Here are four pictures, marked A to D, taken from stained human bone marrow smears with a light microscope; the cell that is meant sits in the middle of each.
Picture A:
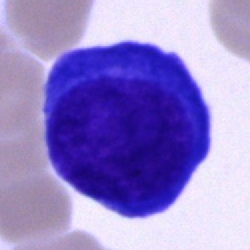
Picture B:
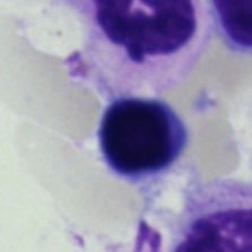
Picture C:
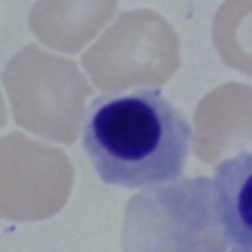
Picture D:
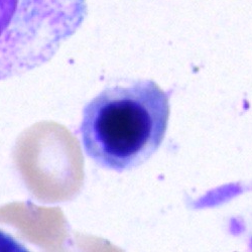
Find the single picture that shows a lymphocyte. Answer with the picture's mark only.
B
